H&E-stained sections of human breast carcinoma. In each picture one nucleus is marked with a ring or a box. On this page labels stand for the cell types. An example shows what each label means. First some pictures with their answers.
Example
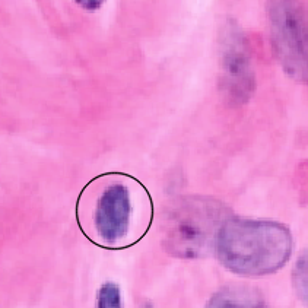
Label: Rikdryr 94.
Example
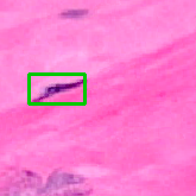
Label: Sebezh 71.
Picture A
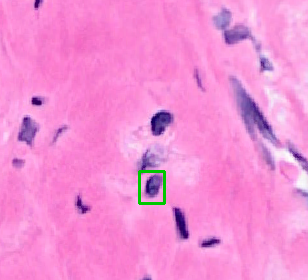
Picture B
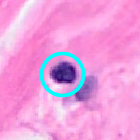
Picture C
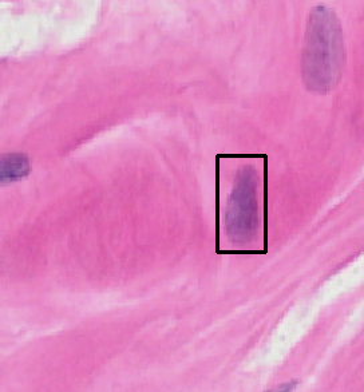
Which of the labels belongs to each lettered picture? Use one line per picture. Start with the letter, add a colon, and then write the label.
A: Rikdryr 94.
B: Rikdryr 94.
C: Sebezh 71.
